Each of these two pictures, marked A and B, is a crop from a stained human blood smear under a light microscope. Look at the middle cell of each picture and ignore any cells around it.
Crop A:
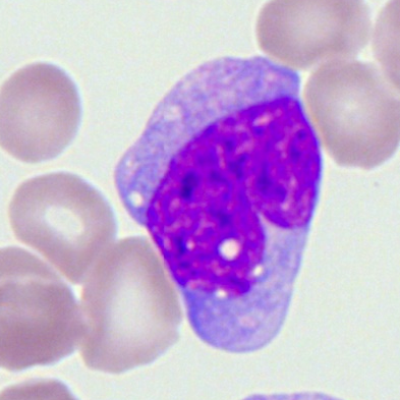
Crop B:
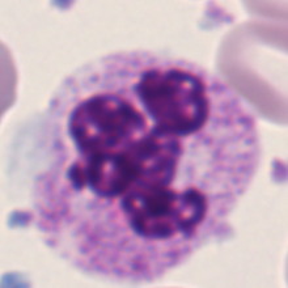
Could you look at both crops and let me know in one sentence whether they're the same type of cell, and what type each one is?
No, crop A captures a monocyte, and crop B captures a segmented neutrophil.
